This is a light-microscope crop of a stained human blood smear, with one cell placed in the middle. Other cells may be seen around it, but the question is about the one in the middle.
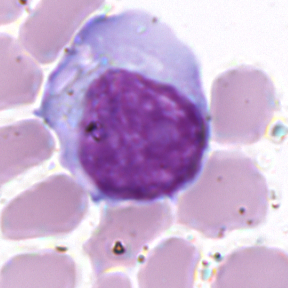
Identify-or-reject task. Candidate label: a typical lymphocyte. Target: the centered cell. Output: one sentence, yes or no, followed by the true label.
No, at the middle of the crop is a plasma cell, not a typical lymphocyte.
